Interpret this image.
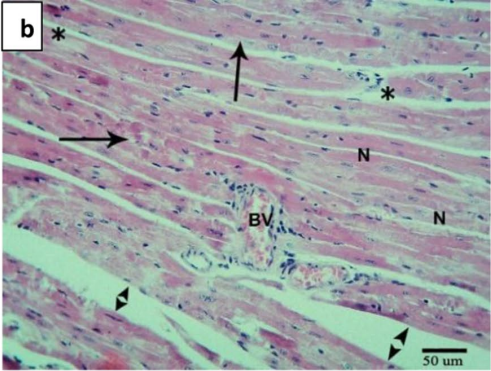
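This is myocardium whose pink muscle fibres are disordered and separated by wide, clear, unstained spaces. The fibres stain unevenly, with pale patchy areas and broken-up, vacuolated-looking cytoplasm beside more deeply pink fibres. Near the centre a blood vessel is surrounded by clustered small dark nuclei, and many nuclei lie scattered along and between the fibres.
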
